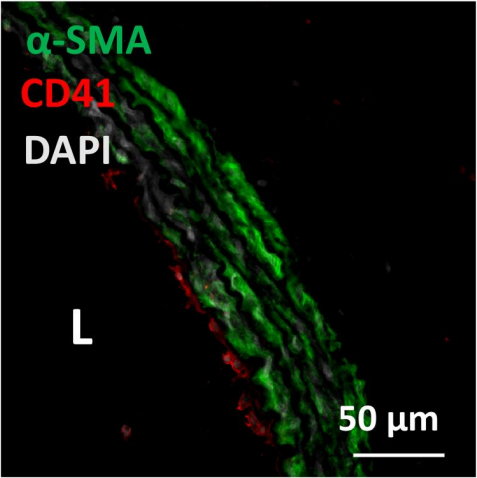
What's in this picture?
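A cross-section of an artery wall, curving from upper left to lower right, with the empty dark lumen on the left. The wall is built of several wavy, closely stacked green layers of smooth muscle, and between them lie flattened, elongated grey nuclei aligned with the layers. The outer side of the wall is dark with little staining.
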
